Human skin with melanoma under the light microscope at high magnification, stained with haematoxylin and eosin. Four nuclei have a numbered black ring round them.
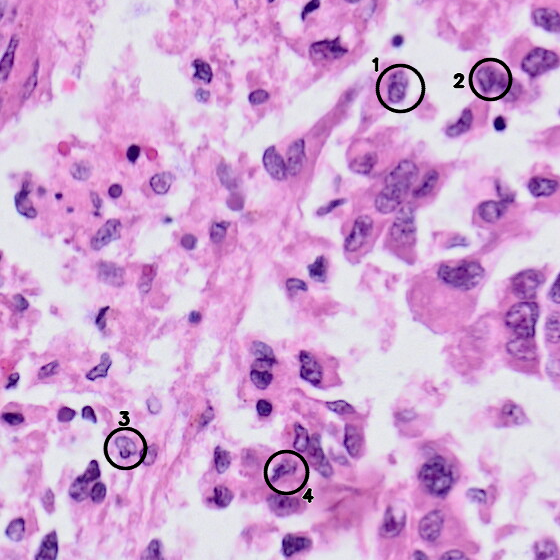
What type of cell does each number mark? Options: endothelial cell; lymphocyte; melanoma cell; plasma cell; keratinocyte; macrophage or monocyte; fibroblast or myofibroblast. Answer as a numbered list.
1. melanoma cell
2. melanoma cell
3. macrophage or monocyte
4. melanoma cell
